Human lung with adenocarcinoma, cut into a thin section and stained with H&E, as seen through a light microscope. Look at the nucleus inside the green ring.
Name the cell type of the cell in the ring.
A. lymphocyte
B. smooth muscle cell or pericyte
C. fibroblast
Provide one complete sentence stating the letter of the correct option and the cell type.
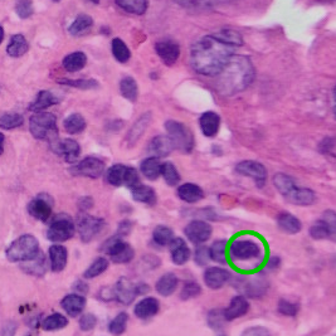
Option A matches the cell in the ring, which is a lymphocyte.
